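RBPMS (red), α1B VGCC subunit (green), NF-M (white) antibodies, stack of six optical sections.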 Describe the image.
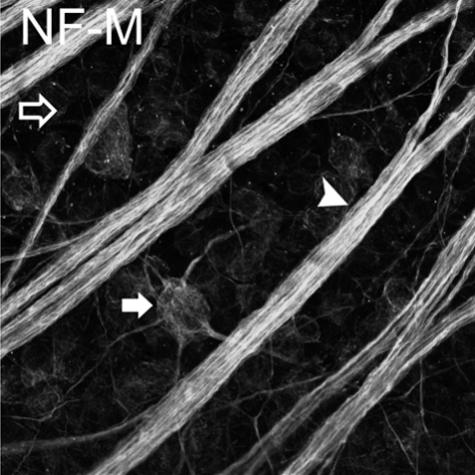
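This wholemount view of the retina is dominated by thick, bright bundles of ganglion cell axons running diagonally and roughly parallel across the field. Each bundle is built of many fine, straight fibres packed side by side. Between the bundles lie faintly outlined cell bodies, most weakly labelled. One cell body stands out with brighter labelling and several thin processes extending from it. A fine meshwork of thin fibres is scattered through the spaces between the bundles.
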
